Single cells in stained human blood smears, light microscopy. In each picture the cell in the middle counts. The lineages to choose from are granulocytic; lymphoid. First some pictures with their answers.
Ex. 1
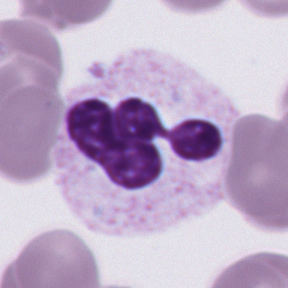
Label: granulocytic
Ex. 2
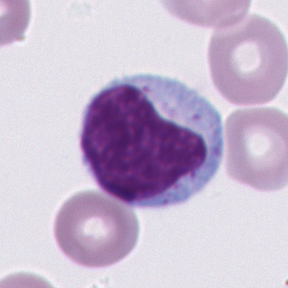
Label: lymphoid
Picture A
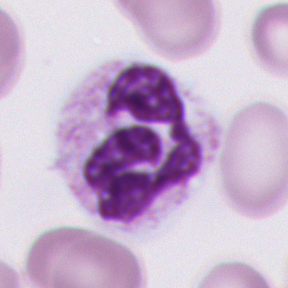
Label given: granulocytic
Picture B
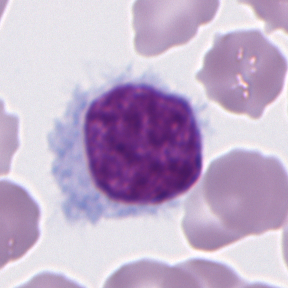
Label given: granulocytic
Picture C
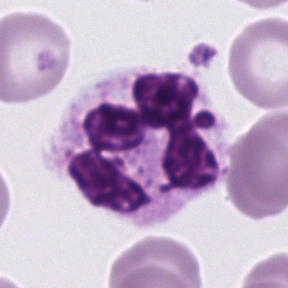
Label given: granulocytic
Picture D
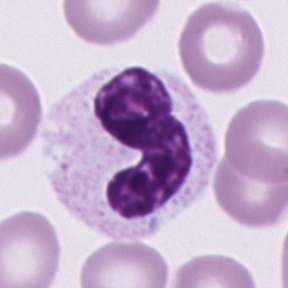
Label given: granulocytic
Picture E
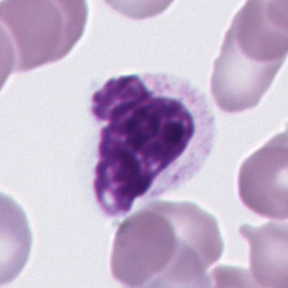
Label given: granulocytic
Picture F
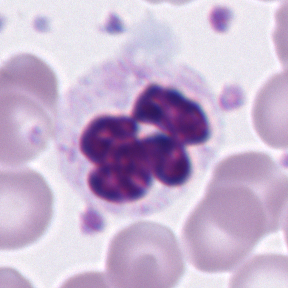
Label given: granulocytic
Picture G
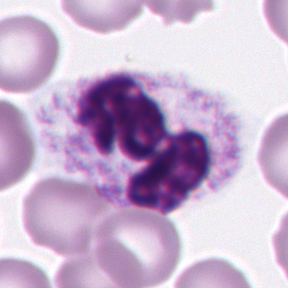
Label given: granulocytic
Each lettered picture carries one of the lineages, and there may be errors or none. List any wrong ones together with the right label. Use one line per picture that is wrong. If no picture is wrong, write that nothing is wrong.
B: not granulocytic but lymphoid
